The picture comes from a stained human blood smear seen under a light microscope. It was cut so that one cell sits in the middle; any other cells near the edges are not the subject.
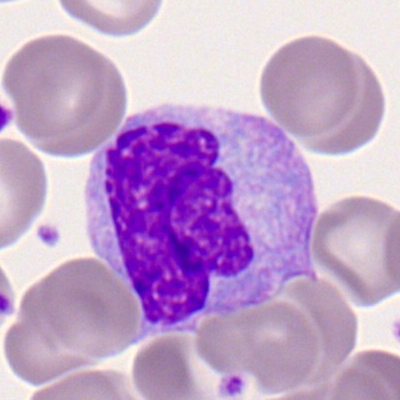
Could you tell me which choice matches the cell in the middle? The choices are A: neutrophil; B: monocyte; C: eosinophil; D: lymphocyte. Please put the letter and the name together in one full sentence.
The middle cell of the crop is a monocyte; accordingly, option B is correct.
